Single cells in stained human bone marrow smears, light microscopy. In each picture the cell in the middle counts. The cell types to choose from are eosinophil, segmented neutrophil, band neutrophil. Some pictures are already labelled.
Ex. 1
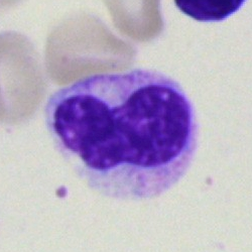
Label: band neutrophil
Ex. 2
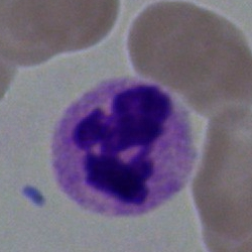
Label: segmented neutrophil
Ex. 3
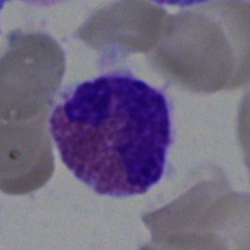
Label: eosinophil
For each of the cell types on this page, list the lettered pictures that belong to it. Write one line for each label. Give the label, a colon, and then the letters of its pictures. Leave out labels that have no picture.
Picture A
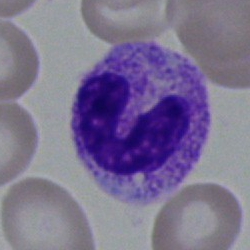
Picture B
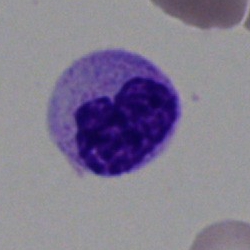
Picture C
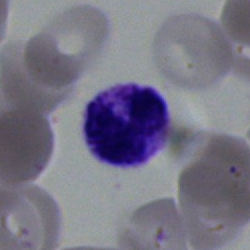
segmented neutrophil: A, C
band neutrophil: B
